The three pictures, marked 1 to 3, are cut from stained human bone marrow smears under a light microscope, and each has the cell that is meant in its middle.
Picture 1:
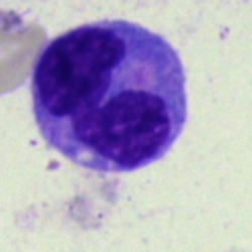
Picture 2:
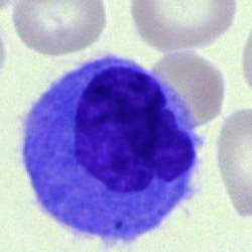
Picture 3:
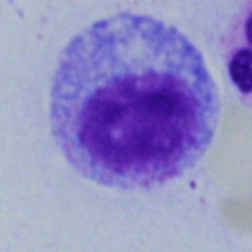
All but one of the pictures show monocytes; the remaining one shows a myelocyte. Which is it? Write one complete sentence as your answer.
The picture with the myelocyte is 3.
